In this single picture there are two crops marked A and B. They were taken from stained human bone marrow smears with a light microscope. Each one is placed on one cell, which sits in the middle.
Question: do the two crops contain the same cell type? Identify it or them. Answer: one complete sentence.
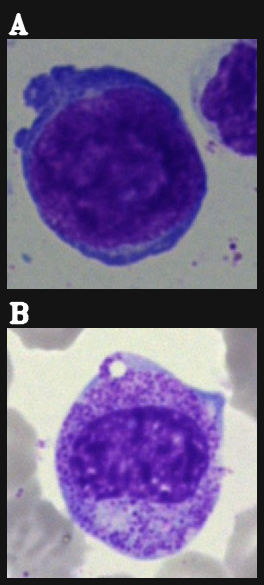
No, crop A shows a blast, with a myelocyte shown in crop B.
